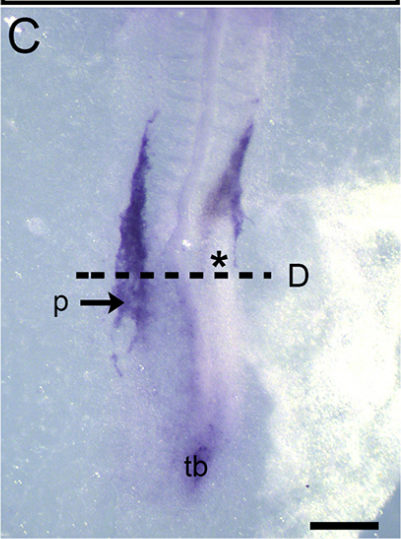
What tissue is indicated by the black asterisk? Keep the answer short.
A: Intermediate mesoderm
